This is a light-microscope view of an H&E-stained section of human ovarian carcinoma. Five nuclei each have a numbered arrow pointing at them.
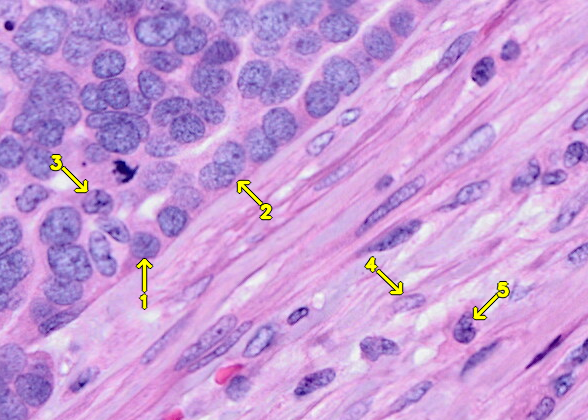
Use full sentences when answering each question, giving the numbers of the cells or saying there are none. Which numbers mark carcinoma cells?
By cell type, the cells numbered 1 and 2 are carcinoma cells.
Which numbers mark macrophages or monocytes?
The numbers 3 and 5 in this section indicate macrophages or monocytes.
